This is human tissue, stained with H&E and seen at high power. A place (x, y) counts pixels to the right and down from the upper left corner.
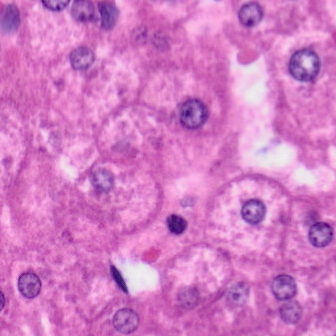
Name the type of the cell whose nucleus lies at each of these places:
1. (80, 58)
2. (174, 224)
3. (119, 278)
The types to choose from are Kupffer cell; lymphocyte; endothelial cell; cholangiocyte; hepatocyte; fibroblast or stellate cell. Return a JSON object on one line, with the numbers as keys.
{"1": "hepatocyte", "2": "lymphocyte", "3": "endothelial cell"}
